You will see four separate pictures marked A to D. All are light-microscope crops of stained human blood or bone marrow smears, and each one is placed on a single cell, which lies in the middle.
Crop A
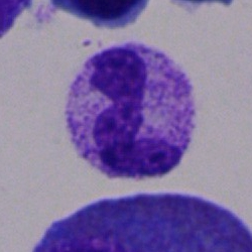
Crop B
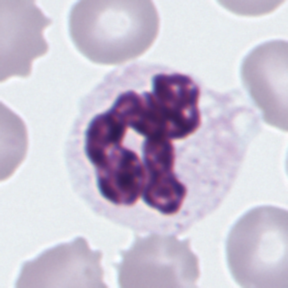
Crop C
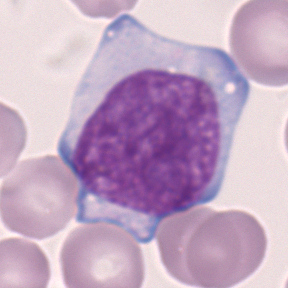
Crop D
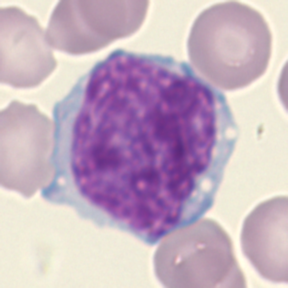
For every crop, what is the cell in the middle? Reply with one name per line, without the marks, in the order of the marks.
segmented neutrophil
segmented neutrophil
blast
blast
